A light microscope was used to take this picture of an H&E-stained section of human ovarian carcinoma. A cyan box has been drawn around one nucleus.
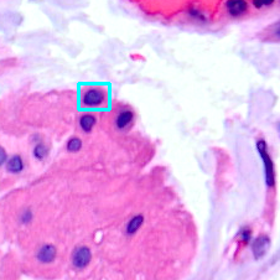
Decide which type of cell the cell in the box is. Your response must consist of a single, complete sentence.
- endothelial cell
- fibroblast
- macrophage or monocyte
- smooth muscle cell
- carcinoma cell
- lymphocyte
The cell type of the cell in the box is that of a smooth muscle cell.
